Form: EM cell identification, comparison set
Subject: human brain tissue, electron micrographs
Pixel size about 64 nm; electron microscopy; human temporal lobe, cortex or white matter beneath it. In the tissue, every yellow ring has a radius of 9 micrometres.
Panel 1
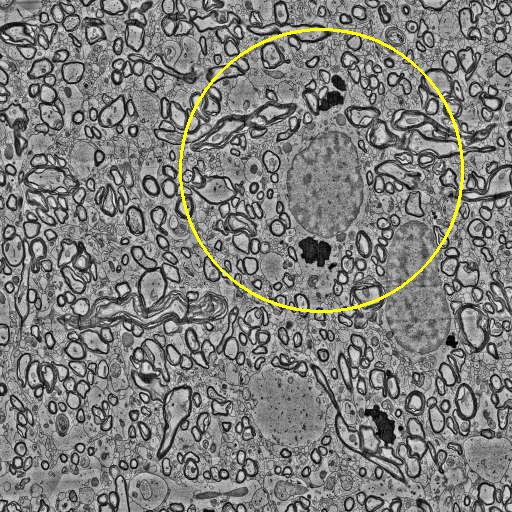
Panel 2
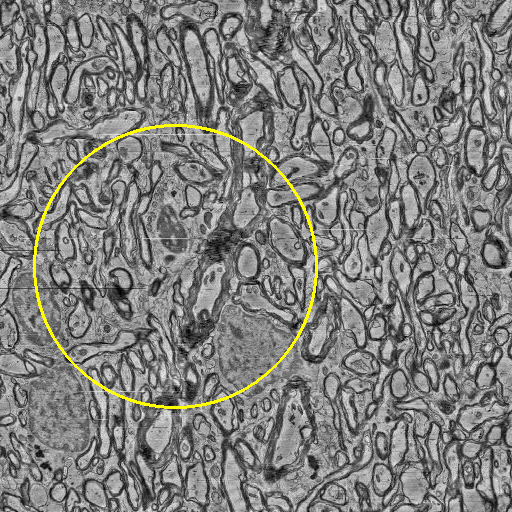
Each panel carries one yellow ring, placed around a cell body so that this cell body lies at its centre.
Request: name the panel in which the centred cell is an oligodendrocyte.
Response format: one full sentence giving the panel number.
Panel 1 has it at the centre of its ring.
